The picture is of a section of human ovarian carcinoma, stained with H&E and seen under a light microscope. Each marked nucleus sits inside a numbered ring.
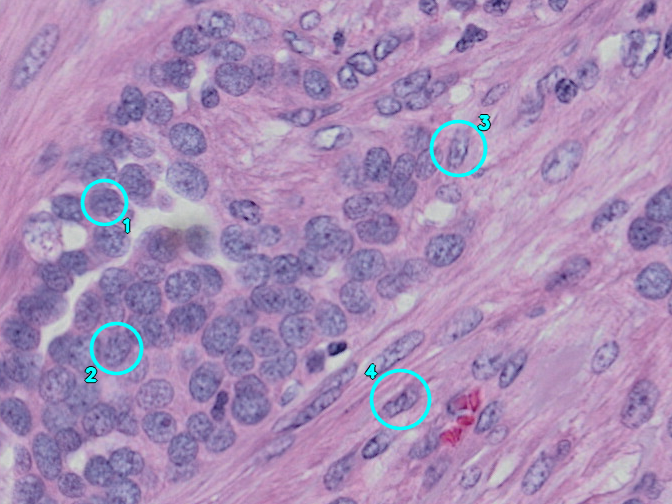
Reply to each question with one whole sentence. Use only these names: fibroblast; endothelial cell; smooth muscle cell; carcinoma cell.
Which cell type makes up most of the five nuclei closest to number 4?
Fibroblasts make up most of the five nuclei closest to number 4.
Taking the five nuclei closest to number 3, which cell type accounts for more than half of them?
Around number 3, most of the five nearest nuclei are those of carcinoma cells.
